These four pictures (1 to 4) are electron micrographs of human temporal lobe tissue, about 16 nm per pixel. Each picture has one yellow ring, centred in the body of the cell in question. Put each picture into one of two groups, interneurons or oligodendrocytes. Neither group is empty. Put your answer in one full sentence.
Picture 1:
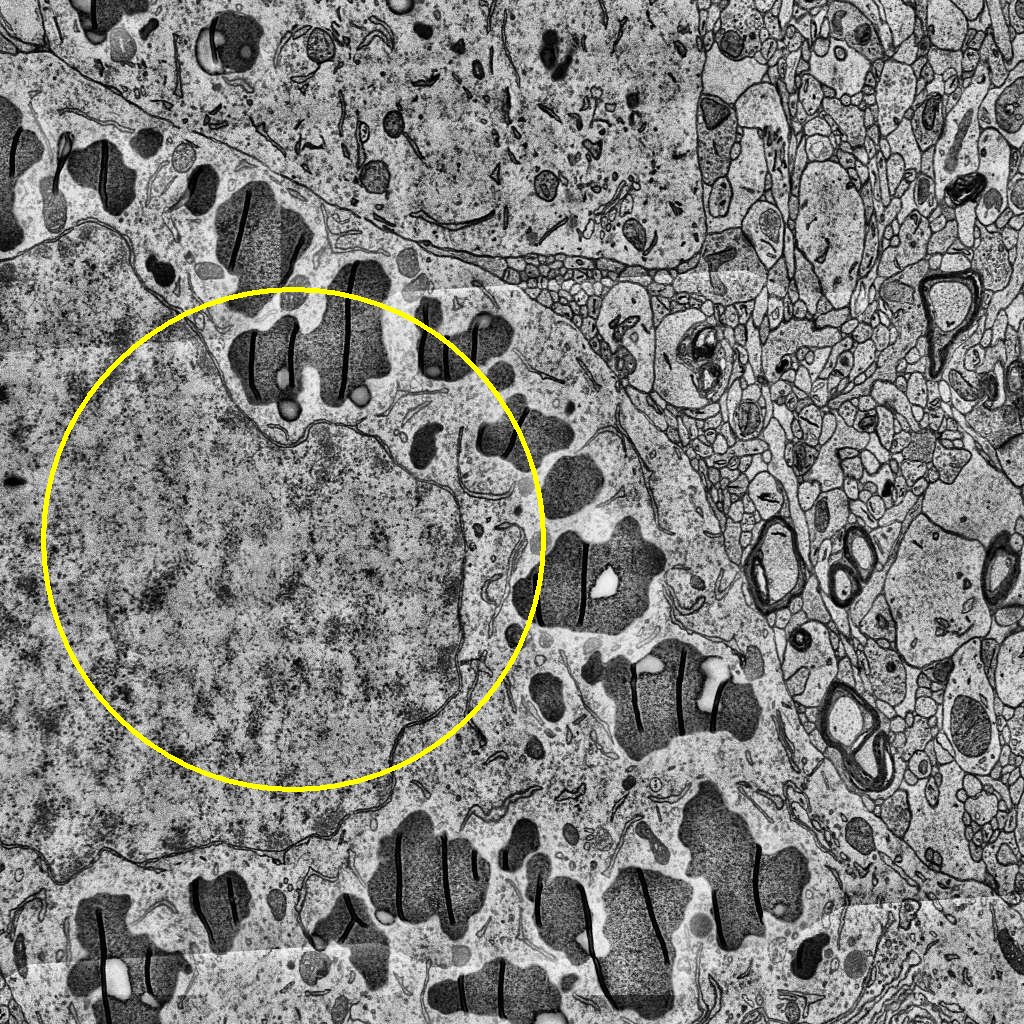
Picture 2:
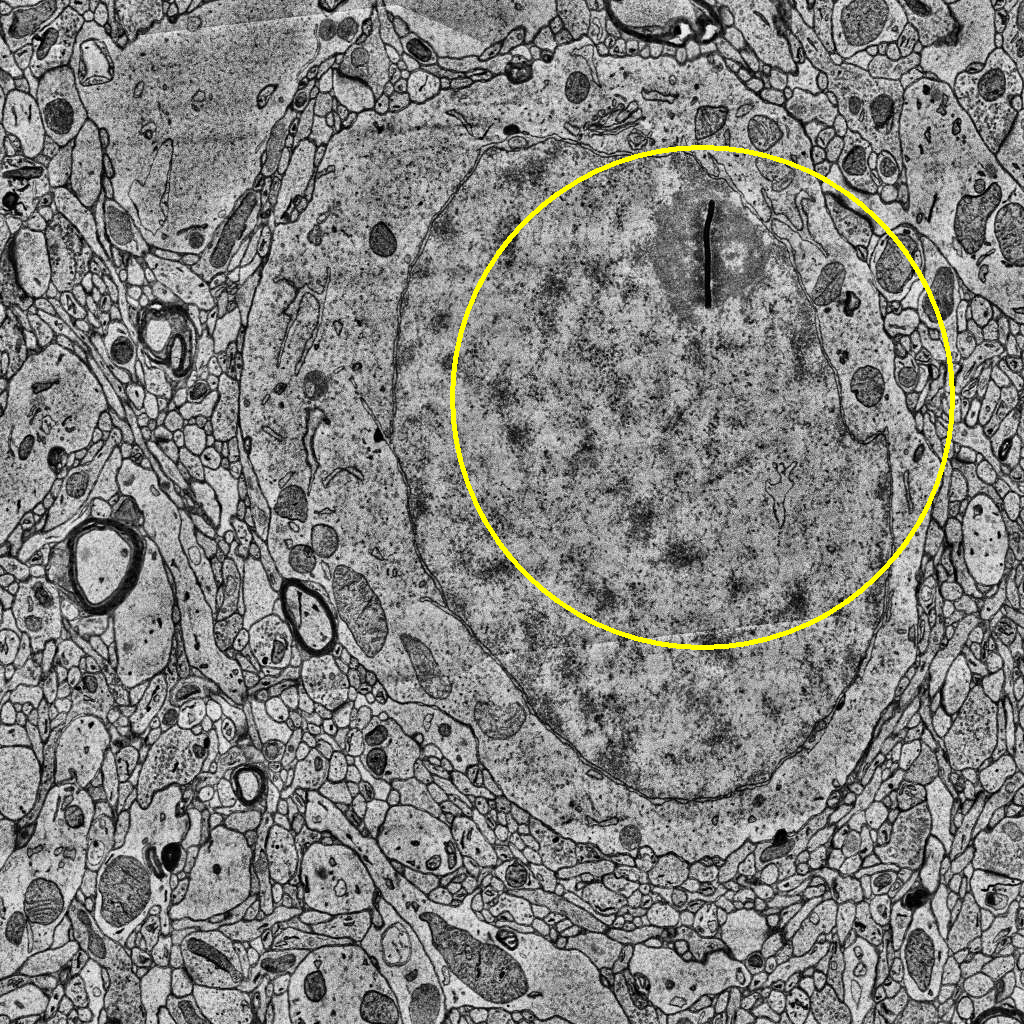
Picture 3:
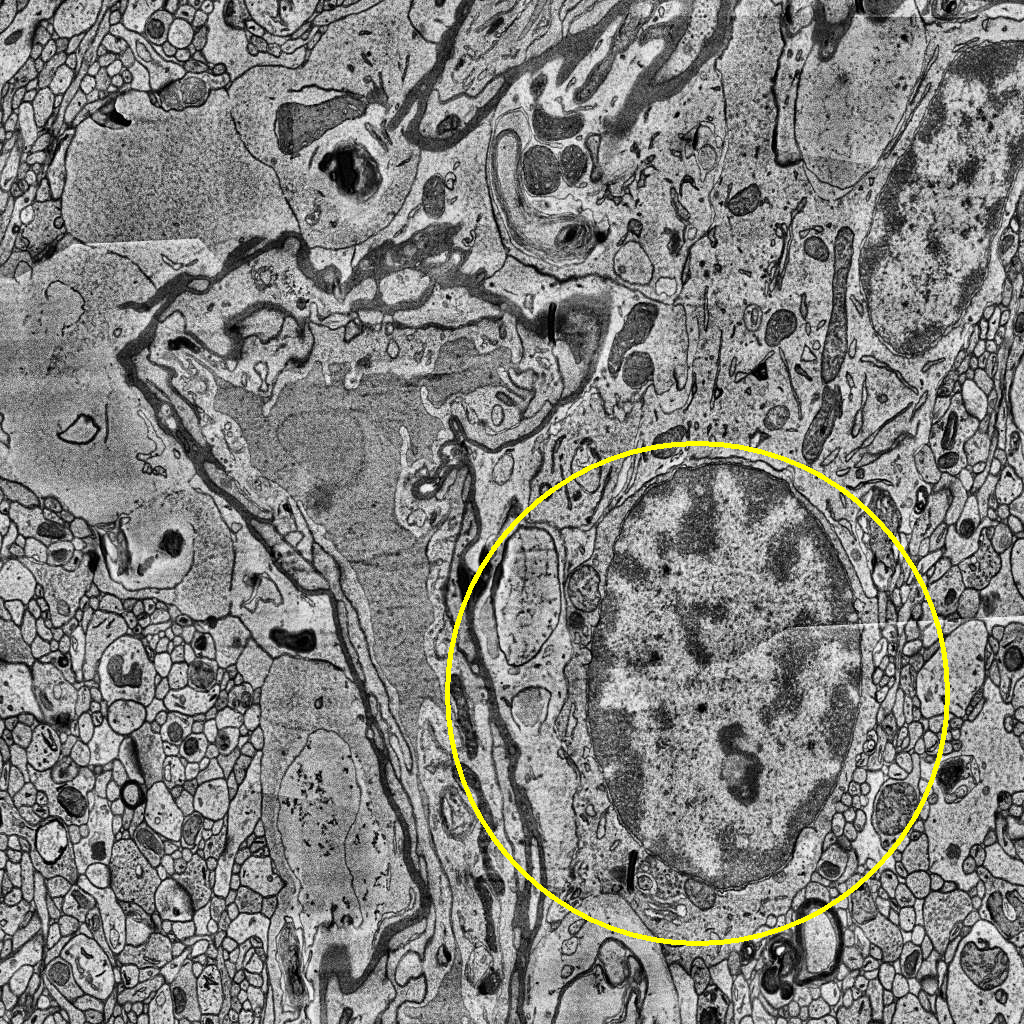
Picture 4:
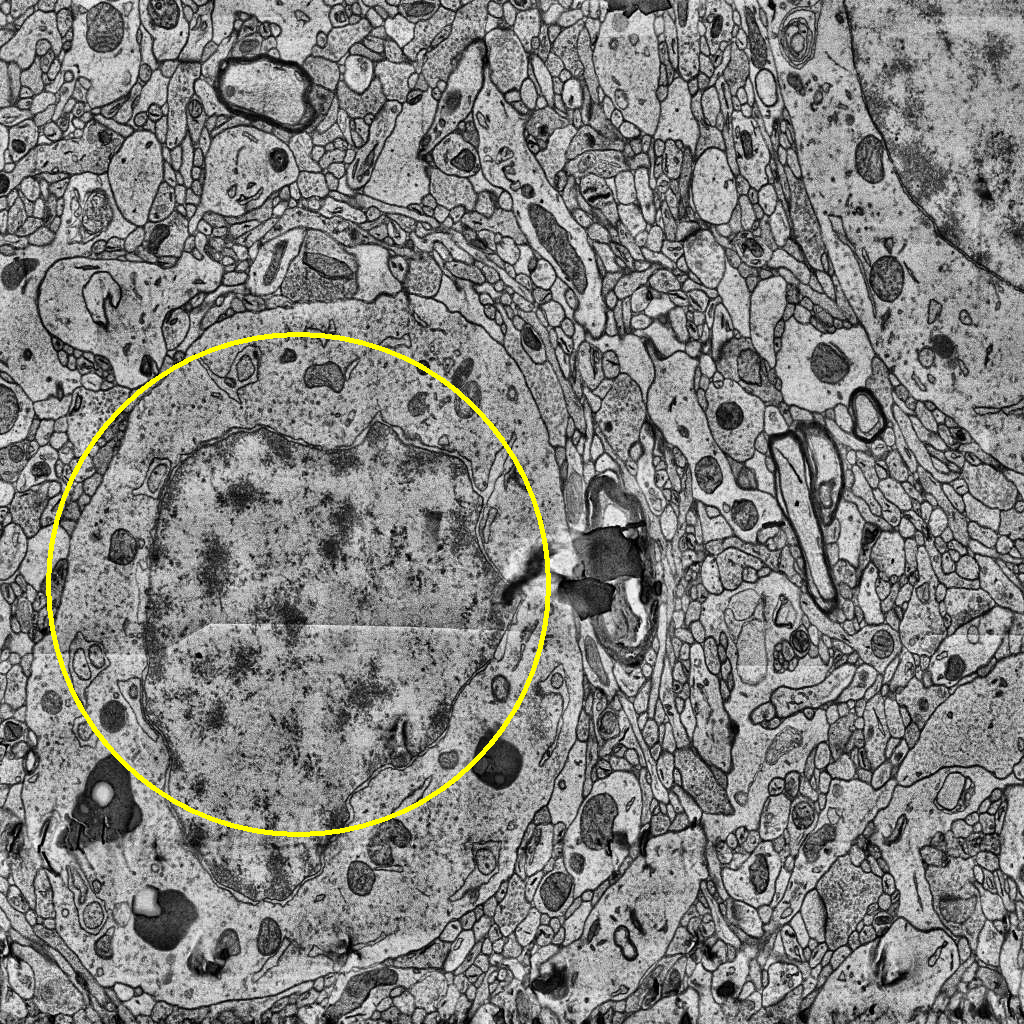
Pictures 1, 2 and 4 show interneurons, while picture 3 shows an oligodendrocyte.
